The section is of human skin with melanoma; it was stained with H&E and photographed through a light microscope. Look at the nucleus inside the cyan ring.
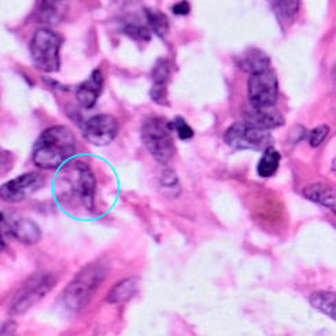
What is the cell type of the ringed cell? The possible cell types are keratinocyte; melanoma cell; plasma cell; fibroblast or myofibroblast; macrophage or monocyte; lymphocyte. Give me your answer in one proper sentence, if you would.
On this particular slide, the ringed cell is a melanoma cell.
